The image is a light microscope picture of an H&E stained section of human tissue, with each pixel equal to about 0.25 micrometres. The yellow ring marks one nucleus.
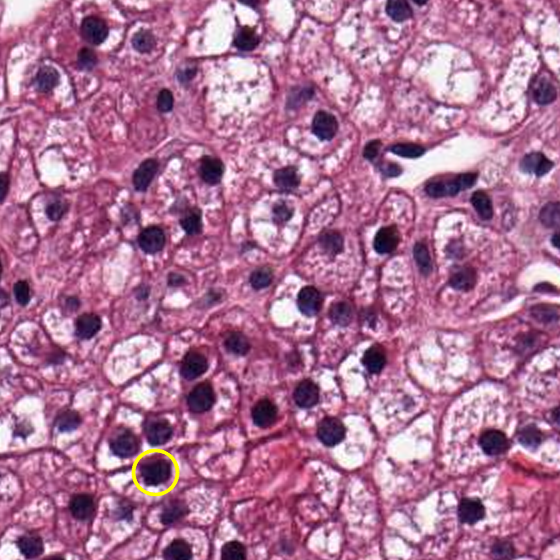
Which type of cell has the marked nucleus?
adrenal cortical cell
